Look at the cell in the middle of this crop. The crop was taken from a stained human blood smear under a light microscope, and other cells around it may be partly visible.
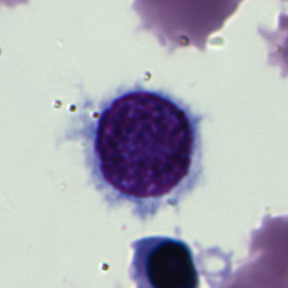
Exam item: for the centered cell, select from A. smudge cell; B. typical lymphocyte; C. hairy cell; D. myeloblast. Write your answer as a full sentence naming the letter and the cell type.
Option C is to be chosen, as the central cell is a hairy cell.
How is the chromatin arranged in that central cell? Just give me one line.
The key point is fine chromatin with no coarse clumps.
